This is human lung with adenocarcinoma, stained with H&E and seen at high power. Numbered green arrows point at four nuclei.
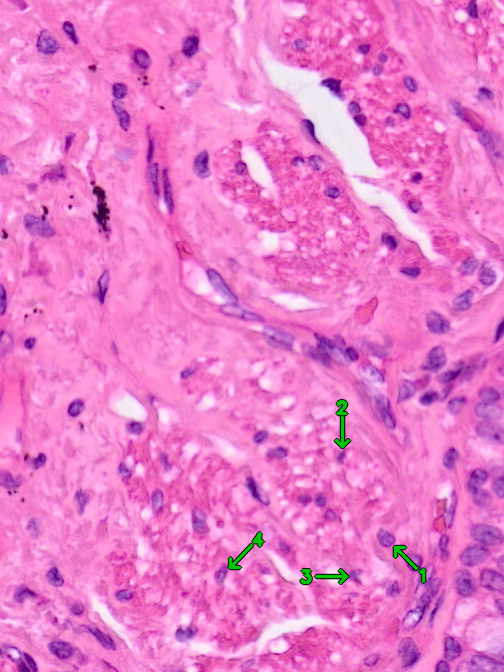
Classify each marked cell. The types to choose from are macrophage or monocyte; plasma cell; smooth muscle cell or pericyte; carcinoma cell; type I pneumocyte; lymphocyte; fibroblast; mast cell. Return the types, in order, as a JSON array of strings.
["mast cell", "smooth muscle cell or pericyte", "smooth muscle cell or pericyte", "smooth muscle cell or pericyte"]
